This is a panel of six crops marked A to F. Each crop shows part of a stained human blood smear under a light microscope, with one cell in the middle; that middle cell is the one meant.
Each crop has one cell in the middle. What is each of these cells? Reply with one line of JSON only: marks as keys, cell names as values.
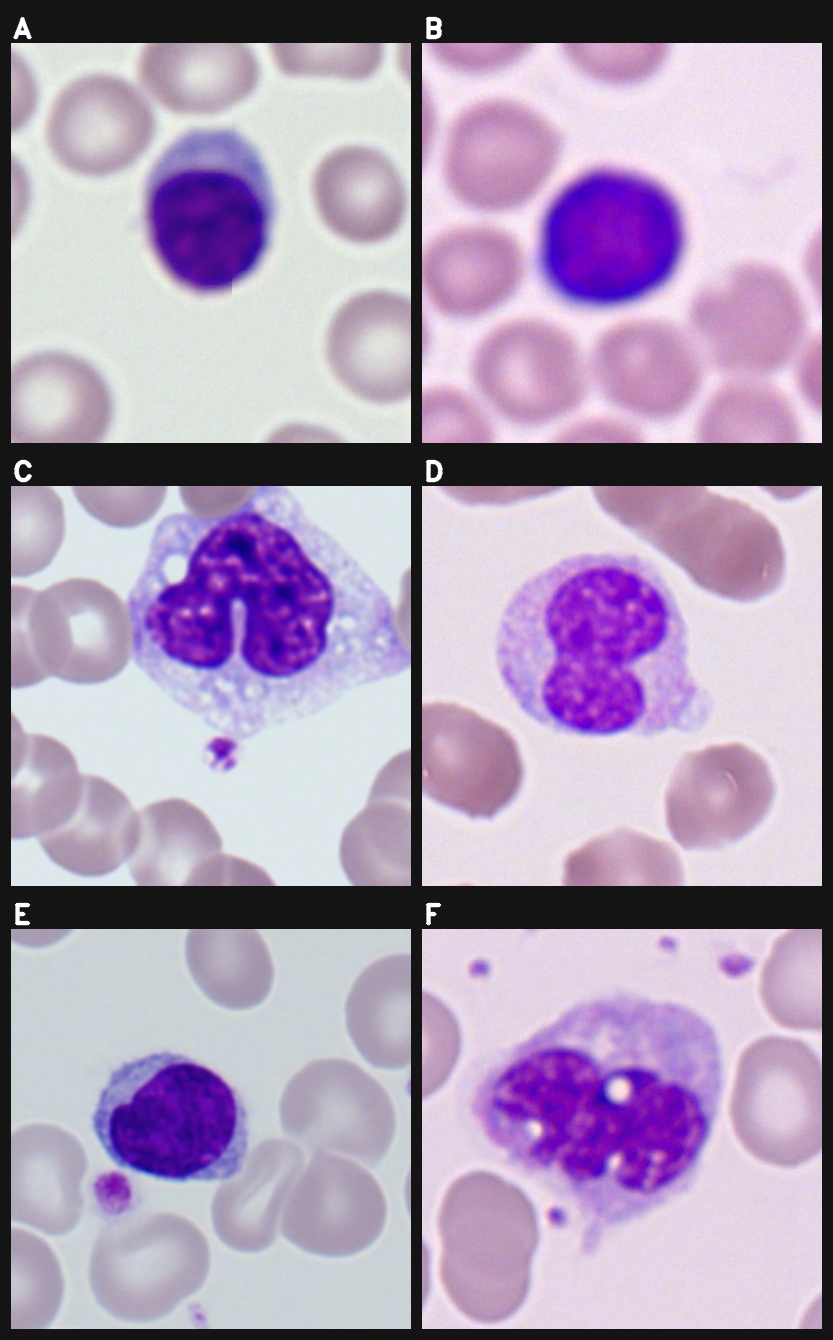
{"A": "lymphocyte", "B": "lymphocyte", "C": "monocyte", "D": "monocyte", "E": "lymphocyte", "F": "monocyte"}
